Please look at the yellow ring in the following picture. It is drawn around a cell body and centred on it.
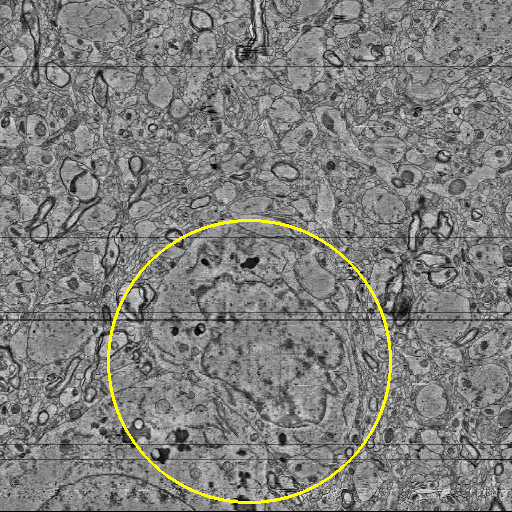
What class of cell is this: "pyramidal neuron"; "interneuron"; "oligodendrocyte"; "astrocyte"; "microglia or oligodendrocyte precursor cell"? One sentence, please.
The ring surrounds the cell body of an interneuron.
